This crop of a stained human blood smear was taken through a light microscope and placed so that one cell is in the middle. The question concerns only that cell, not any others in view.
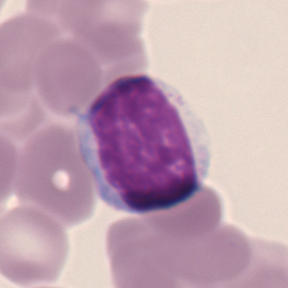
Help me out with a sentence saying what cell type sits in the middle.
The cell that lies at the centre of the crop is a large granular lymphocyte.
